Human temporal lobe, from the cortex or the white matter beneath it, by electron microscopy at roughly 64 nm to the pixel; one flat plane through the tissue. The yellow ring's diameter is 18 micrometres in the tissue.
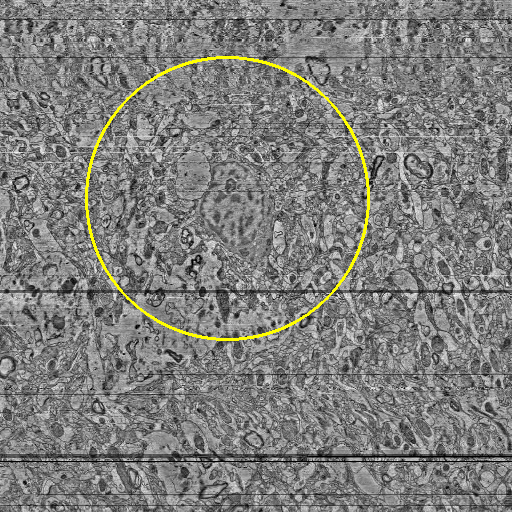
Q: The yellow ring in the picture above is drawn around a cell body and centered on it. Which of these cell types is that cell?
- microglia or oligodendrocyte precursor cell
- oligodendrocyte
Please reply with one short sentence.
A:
The cell body at the ring's center belongs to an oligodendrocyte.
